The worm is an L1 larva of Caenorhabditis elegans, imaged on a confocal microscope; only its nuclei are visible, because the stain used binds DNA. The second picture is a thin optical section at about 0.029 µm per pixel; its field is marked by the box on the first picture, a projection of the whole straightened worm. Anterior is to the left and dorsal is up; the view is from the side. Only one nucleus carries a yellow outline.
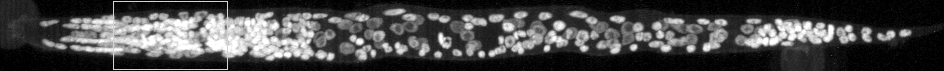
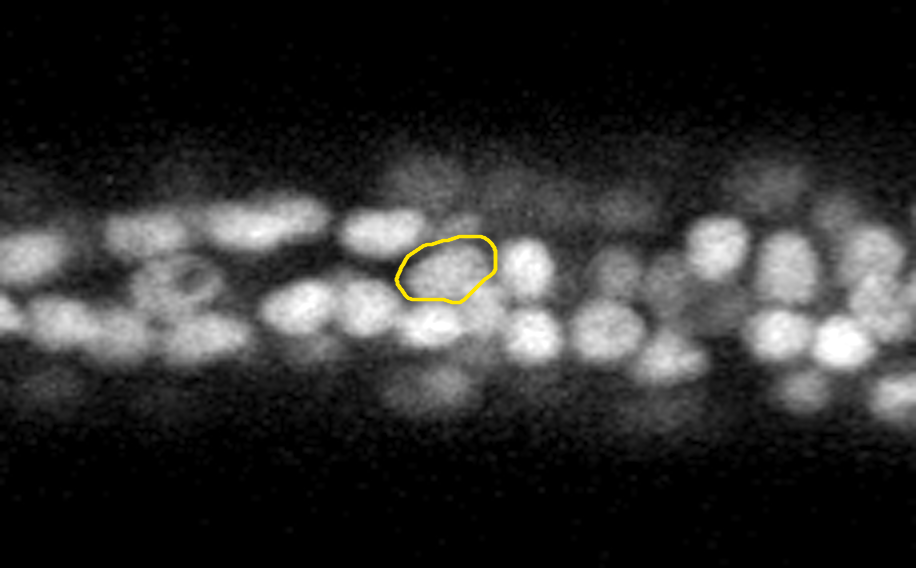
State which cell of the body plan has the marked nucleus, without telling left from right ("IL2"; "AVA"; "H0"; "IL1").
IL2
